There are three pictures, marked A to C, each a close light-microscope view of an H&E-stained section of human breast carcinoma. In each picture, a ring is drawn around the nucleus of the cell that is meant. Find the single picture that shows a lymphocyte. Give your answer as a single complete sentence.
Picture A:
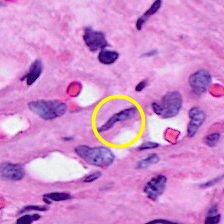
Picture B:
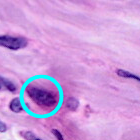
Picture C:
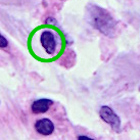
The lymphocyte is the one in picture C.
